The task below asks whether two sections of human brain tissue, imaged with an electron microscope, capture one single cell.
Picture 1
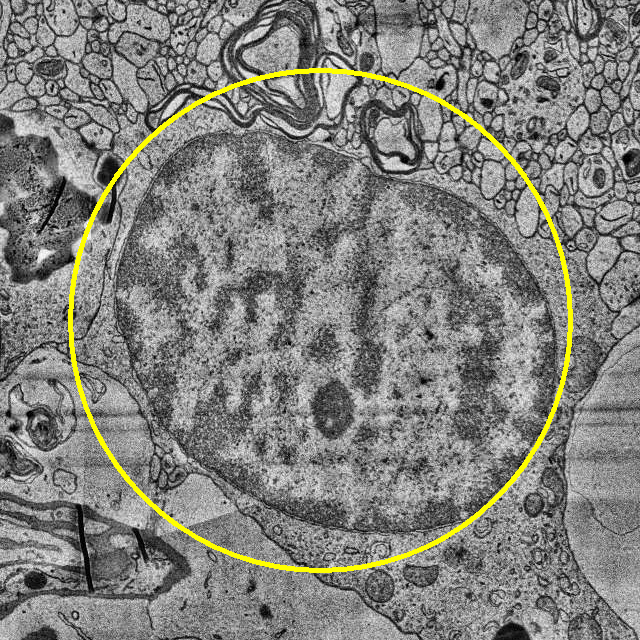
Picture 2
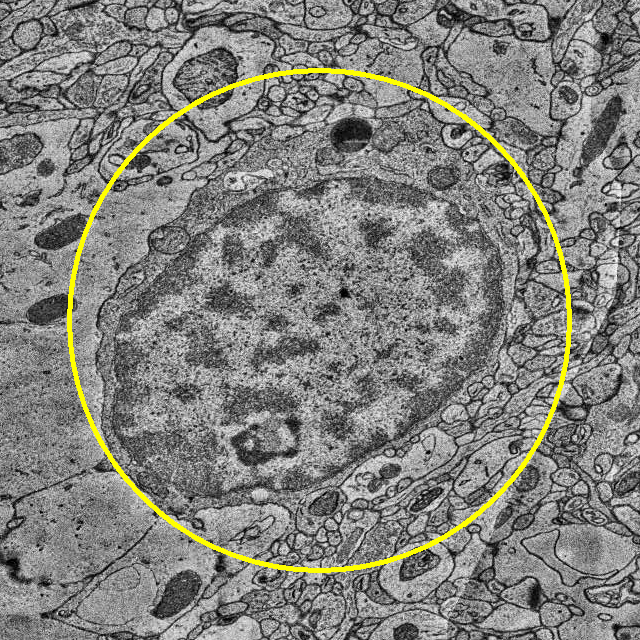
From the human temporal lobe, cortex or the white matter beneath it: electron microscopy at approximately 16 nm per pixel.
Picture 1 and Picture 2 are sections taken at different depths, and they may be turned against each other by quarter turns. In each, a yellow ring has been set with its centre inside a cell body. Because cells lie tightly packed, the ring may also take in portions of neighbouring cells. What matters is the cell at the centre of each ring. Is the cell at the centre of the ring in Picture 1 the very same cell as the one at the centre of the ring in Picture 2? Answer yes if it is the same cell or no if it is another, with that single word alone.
no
